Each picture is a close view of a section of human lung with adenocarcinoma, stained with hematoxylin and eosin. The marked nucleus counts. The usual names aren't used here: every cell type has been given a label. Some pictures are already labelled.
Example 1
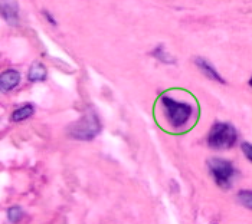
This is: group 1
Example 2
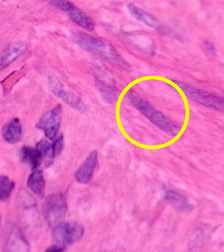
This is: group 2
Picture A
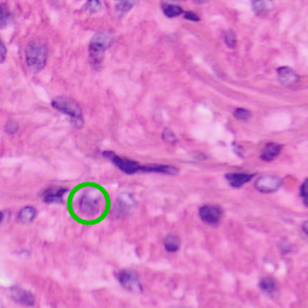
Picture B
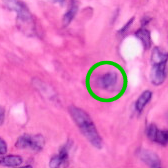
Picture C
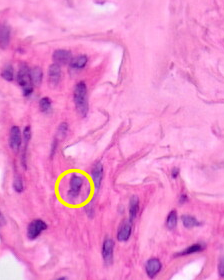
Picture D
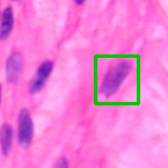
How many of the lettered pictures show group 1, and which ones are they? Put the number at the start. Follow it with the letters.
0, none of them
